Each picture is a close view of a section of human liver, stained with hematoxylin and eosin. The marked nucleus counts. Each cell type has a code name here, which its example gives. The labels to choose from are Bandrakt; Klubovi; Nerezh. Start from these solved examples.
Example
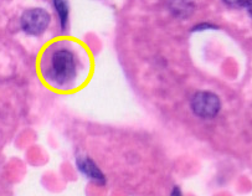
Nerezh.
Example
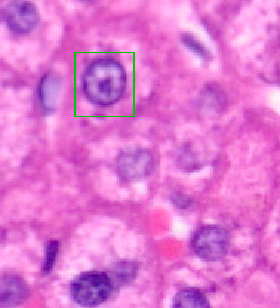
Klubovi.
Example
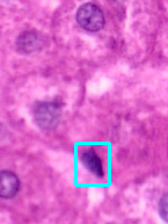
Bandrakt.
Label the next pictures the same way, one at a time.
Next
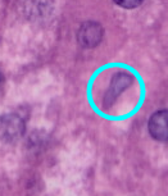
Nerezh.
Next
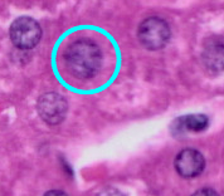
Klubovi.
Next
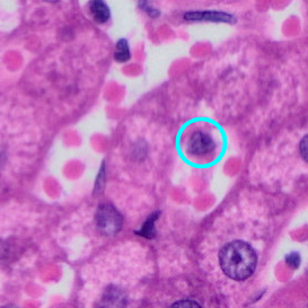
Nerezh.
